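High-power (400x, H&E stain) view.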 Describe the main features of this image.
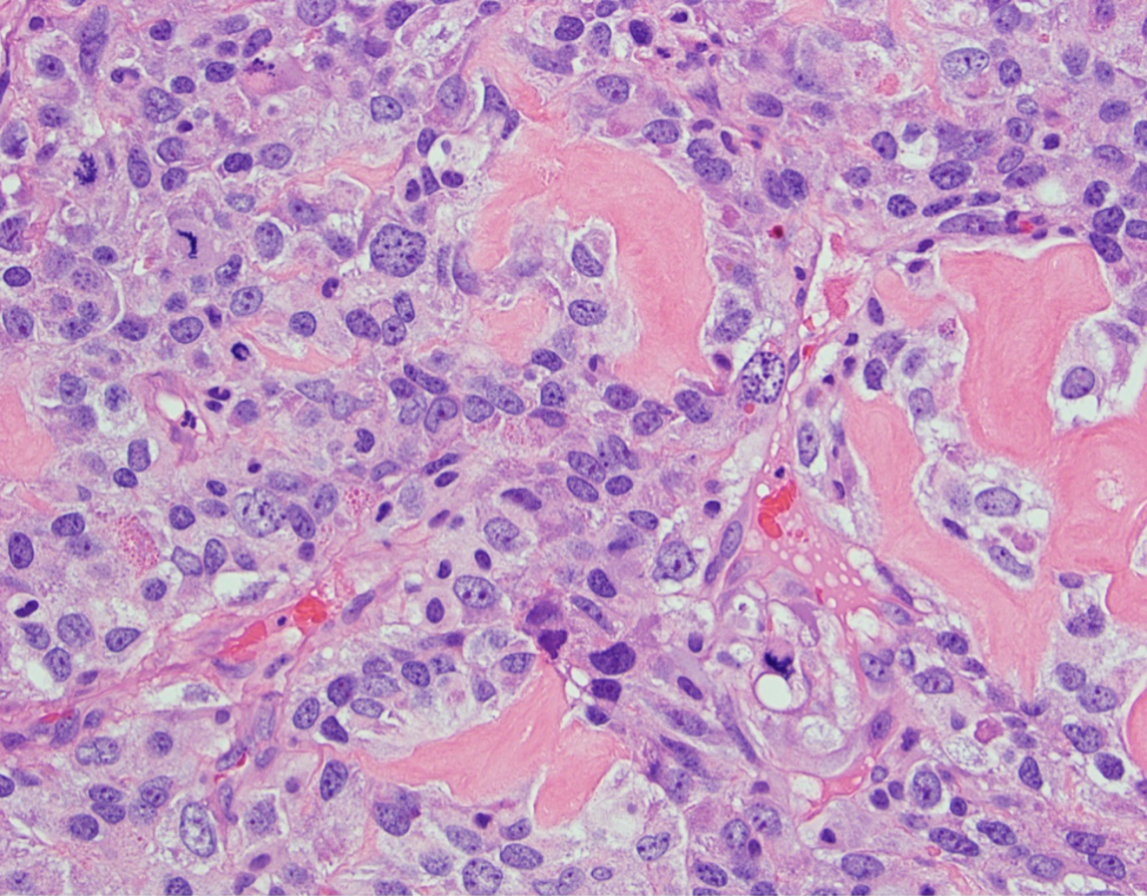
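Sheets of pleomorphic neoplastic cells with marked nuclear atypia, set about irregular deposits of pink matrix consistent with malignant osteoid. Nuclei are oval to irregular, vary widely in size, and are often hyperchromatic with coarse chromatin and occasional prominent nucleoli. Cytoplasm is moderate, pale pink to purple, sometimes vacuolated, with indistinct cell borders. Several dark mitotic figures are scattered through the field, some of irregular form. The dense, homogeneous pink matrix forms branching strands and patches between cells, with tumour cells lining its edges; small vessels with red blood cells run between groups of cells.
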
